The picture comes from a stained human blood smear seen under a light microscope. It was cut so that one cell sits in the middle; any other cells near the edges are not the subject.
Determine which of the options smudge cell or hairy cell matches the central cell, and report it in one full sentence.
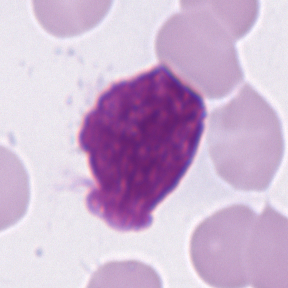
On this slide crop, the central cell is a smudge cell.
